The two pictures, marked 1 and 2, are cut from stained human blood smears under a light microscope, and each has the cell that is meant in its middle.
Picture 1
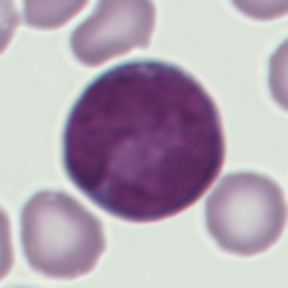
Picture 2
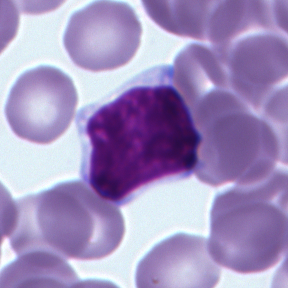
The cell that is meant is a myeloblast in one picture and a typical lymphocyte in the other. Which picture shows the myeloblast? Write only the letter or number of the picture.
1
